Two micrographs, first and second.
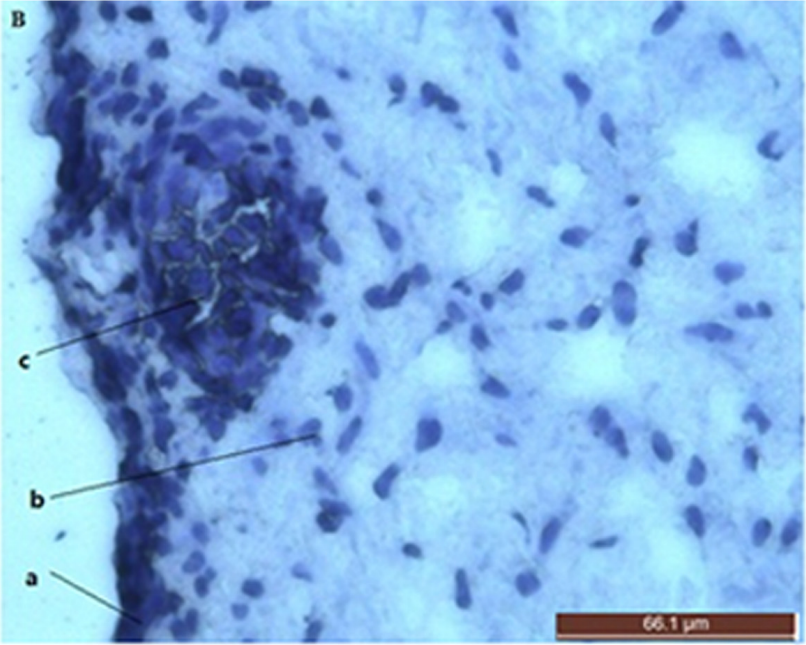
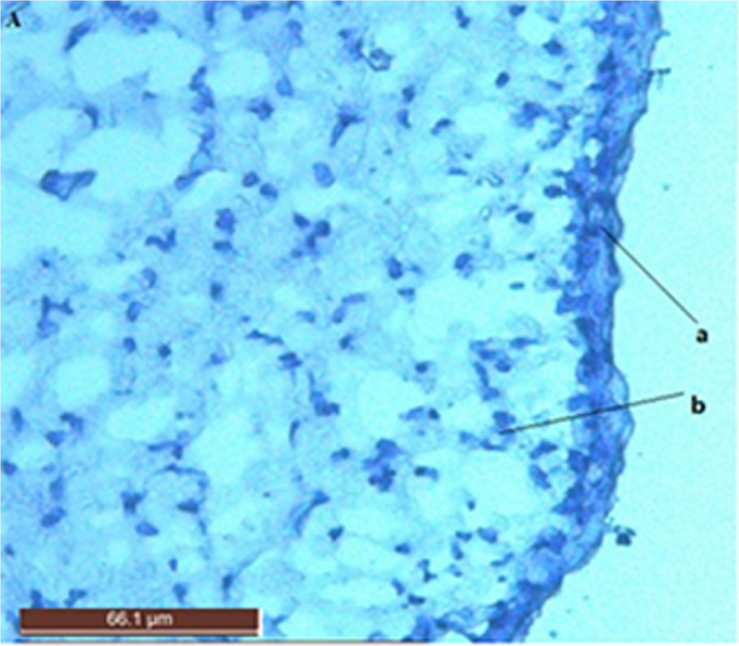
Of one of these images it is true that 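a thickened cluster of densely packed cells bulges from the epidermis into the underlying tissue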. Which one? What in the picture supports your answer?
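First image: a rounded aggregate of crowded dark nuclei bulges from the surface layer into the tissue below. Second image: the surface layer is a thin, even band with no local thickening.
Hence: the first image.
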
